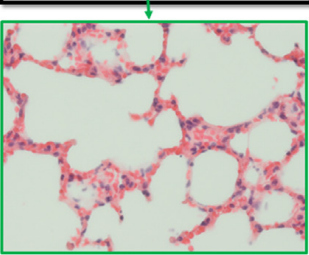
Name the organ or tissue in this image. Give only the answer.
lung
